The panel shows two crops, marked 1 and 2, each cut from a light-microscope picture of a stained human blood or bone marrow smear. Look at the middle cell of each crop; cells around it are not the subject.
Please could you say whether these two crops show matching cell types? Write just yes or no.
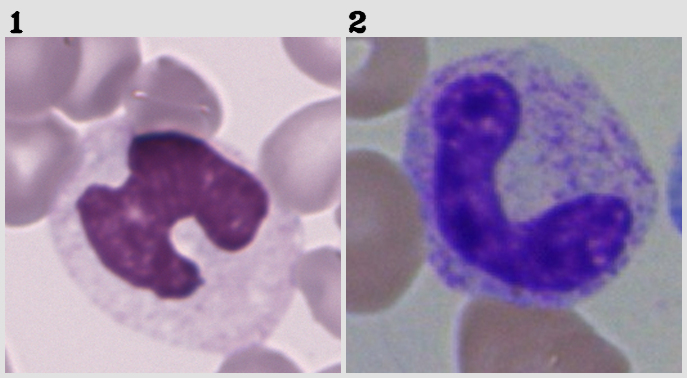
yes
